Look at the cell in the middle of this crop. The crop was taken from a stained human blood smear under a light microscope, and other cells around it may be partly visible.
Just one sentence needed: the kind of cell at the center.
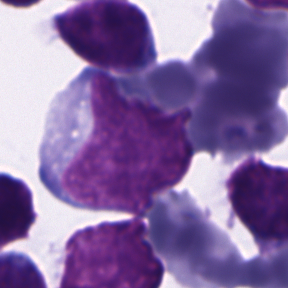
In the central position of this crop, the cell is a blast.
